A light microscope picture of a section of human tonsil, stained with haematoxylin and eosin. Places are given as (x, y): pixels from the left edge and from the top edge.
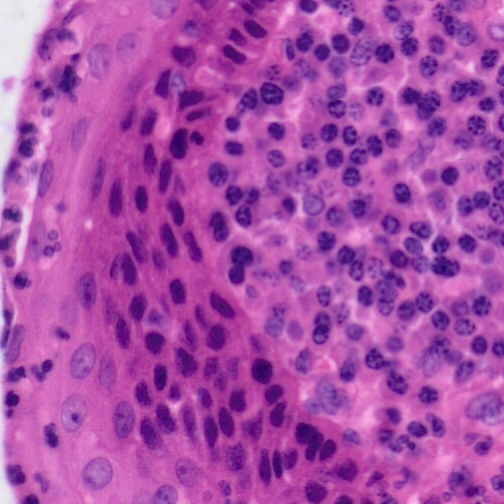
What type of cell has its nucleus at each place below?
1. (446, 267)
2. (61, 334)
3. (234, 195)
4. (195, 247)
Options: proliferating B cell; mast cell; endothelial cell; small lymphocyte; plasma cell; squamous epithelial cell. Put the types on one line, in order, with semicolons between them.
plasma cell; squamous epithelial cell; plasma cell; squamous epithelial cell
